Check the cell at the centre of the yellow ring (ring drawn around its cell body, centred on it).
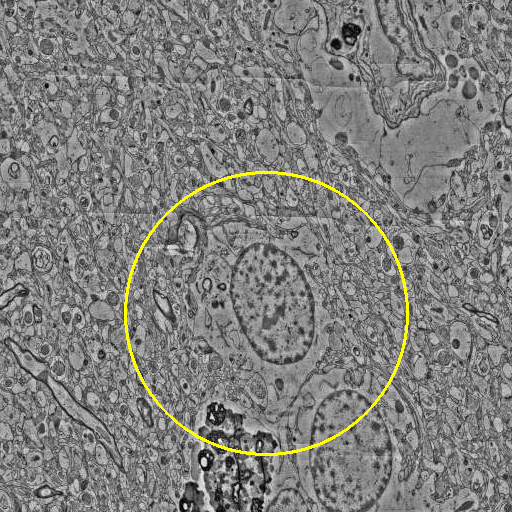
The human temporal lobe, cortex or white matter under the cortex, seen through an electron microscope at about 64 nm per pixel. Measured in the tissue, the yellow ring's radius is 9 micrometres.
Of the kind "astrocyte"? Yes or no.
yes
